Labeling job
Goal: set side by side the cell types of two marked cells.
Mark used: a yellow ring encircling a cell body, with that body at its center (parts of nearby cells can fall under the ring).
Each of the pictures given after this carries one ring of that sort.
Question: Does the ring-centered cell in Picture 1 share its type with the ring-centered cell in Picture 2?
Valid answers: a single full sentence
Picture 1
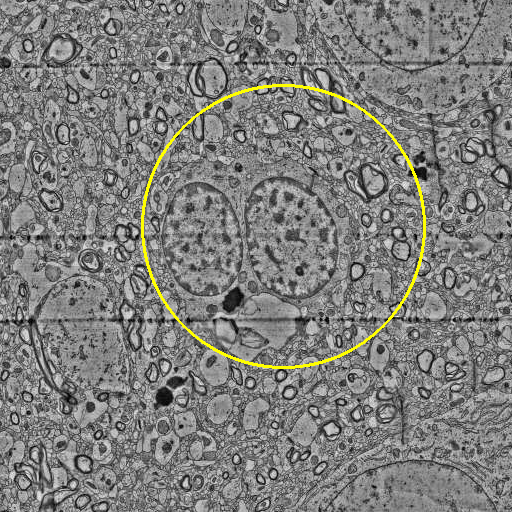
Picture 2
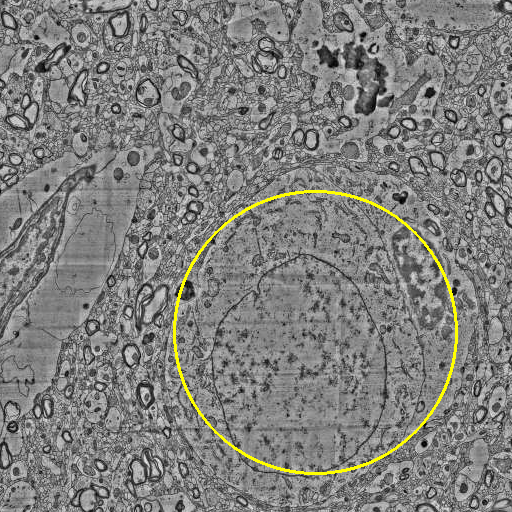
No, in Pictures 1 and 2 the cells at the ring centers have separate types.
